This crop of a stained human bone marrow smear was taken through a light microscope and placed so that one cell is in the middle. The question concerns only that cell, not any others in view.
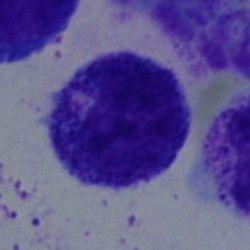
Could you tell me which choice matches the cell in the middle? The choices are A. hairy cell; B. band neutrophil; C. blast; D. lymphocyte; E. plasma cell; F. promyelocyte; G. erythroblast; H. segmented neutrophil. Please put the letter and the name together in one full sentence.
Option F gives the correct identity of the central cell, namely a promyelocyte.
